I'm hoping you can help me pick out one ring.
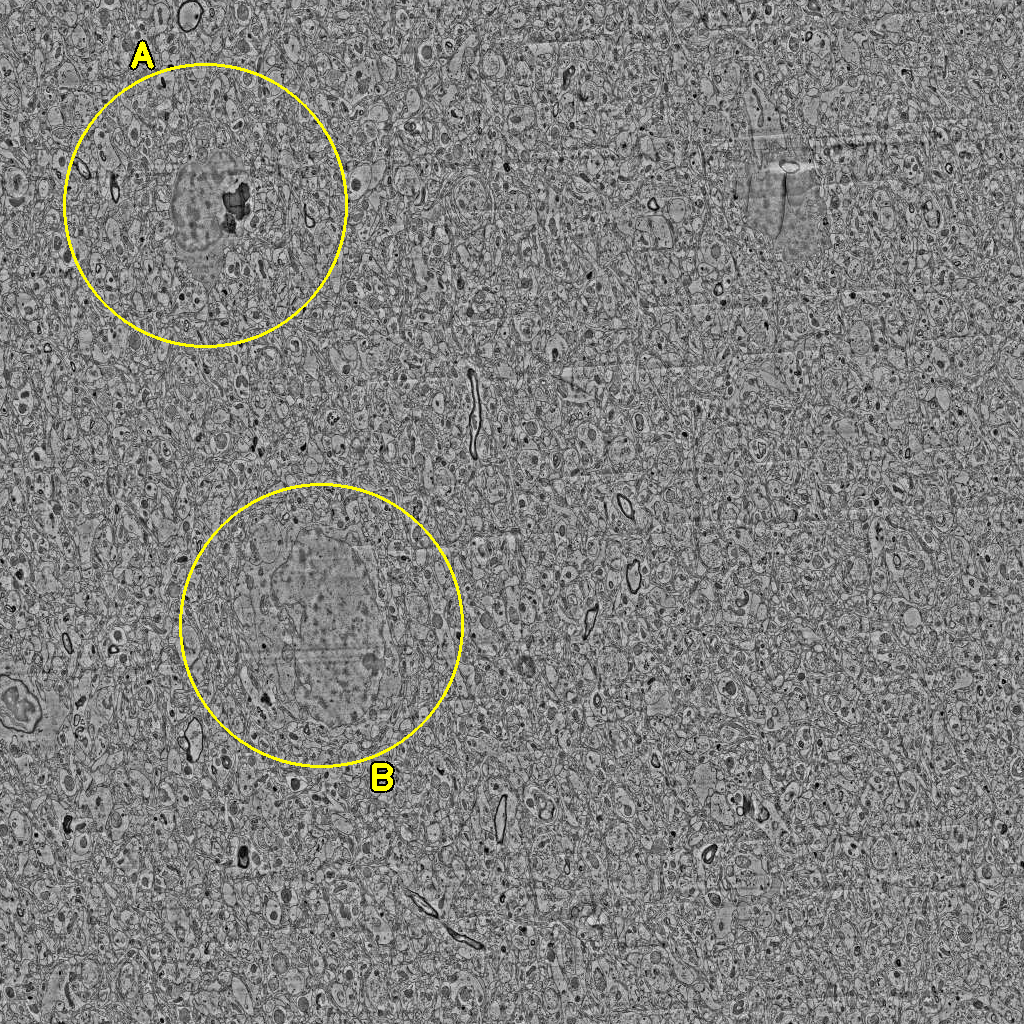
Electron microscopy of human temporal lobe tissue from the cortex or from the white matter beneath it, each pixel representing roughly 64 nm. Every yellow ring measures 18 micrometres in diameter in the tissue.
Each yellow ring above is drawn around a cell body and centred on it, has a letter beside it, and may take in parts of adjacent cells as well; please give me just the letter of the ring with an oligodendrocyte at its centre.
A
